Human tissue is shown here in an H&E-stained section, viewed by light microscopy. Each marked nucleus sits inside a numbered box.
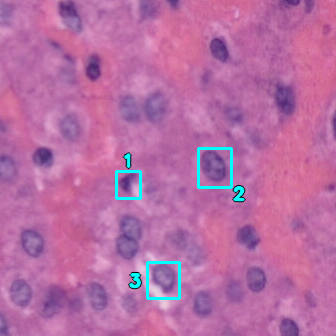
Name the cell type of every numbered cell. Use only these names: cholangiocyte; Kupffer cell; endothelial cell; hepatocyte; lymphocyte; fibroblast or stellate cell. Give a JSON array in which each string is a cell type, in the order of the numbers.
["fibroblast or stellate cell", "hepatocyte", "hepatocyte"]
